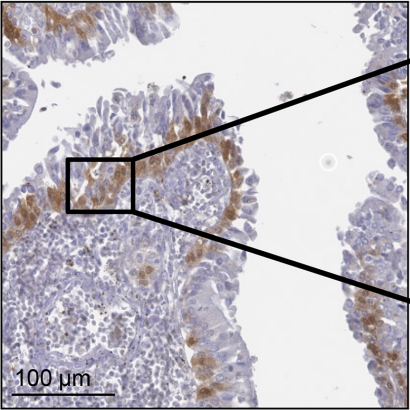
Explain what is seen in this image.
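This is glandular epithelium lining open lumens, with densely cellular stroma beneath it. The epithelium is several cells thick, and a row of brown-stained cells sits along its base against the stroma. The cells nearer the lumen carry pale bluish cytoplasm and blue nuclei and are not stained. The stroma below is crowded with small round blue nuclei.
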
